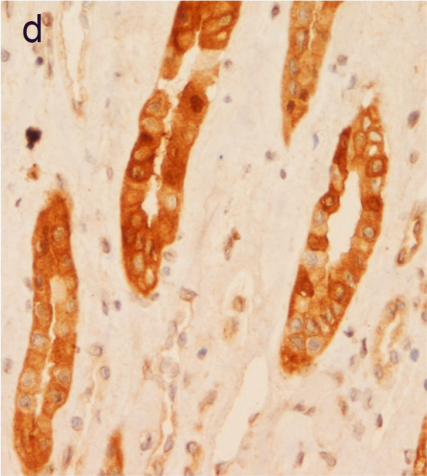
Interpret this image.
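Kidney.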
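At higher magnification these are collecting ducts whose epithelial cells carry brown cytoplasmic stain. The cuboidal cells have round pale nuclei and line open lumina in a single layer. Neighbouring cells in the same duct differ in intensity, some dark brown and others lighter. The surrounding interstitium is pale with scattered small nuclei.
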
